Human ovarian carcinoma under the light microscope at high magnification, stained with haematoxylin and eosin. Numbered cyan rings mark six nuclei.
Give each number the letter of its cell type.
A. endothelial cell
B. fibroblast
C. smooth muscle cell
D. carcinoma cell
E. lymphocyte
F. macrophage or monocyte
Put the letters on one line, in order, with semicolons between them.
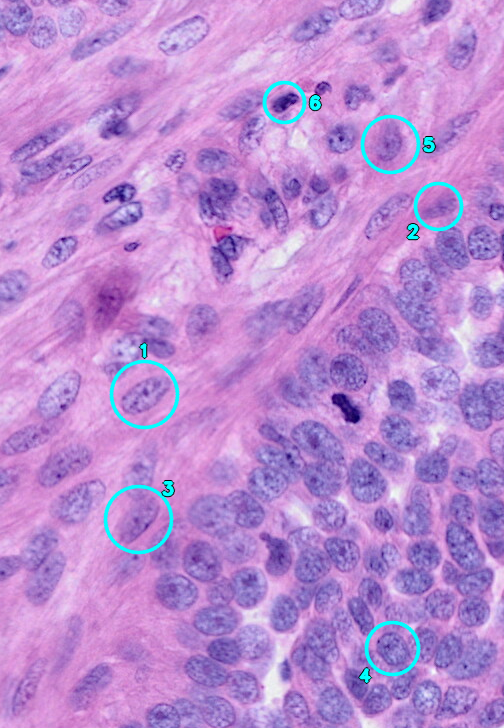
B; B; B; D; B; E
